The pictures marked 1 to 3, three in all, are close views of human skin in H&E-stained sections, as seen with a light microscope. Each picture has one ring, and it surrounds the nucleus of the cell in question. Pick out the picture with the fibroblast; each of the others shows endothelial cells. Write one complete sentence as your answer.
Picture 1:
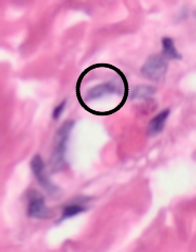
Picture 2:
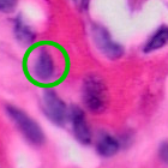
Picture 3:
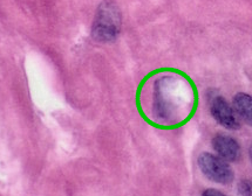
Picture 3 is the one that shows the fibroblast.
